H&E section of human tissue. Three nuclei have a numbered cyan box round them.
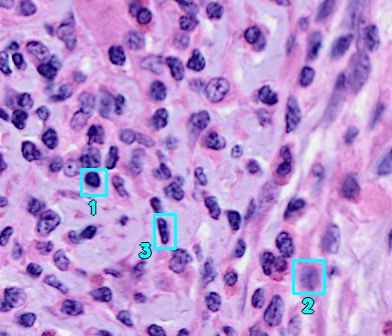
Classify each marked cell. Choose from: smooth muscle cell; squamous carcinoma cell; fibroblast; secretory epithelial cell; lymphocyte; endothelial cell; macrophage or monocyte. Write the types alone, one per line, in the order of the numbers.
lymphocyte
macrophage or monocyte
lymphocyte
